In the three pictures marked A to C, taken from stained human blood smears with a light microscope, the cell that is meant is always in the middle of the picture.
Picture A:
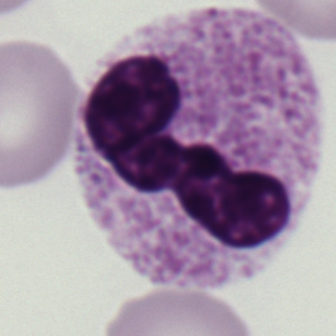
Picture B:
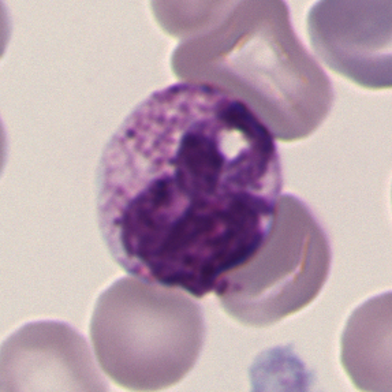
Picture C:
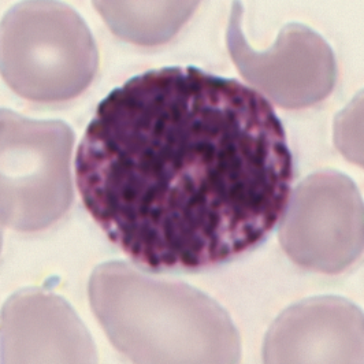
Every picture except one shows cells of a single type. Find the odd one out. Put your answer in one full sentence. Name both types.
Picture A is the odd one out: it shows a segmented neutrophil, while the others show basophils.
